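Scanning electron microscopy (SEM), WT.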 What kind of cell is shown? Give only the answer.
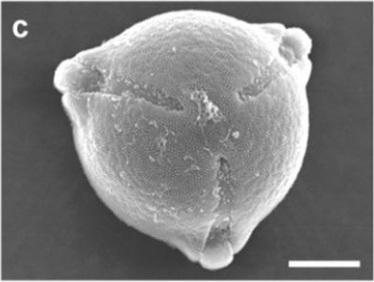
Single pollen grain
